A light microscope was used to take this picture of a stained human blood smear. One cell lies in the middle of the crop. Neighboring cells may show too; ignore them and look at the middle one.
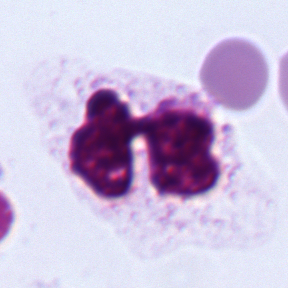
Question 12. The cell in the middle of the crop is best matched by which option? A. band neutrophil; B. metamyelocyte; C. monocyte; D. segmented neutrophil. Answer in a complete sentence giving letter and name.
Option D gets it right: the cell in the middle is a segmented neutrophil.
